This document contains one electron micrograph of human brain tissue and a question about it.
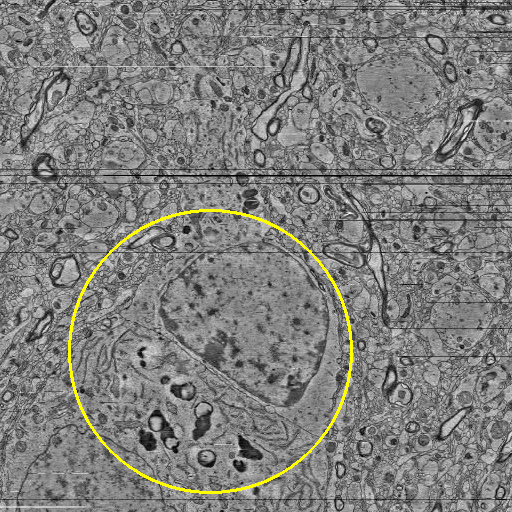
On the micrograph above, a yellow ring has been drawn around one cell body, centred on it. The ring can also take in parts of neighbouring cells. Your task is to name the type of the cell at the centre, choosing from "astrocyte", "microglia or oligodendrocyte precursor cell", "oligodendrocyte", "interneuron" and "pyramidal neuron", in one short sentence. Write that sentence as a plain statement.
Here the ring is centred on a microglial cell or oligodendrocyte precursor cell.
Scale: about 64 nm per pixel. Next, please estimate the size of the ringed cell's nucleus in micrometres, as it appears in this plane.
Approximately 11 micrometres long and 10 micrometres wide, in this plane.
